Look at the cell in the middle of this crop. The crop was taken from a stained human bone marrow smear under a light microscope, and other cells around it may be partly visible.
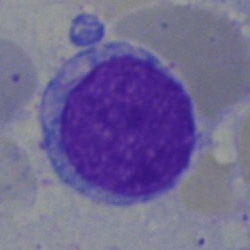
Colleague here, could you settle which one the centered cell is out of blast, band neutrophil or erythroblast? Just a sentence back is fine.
The crop centres on a single cell, and that cell is a blast.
